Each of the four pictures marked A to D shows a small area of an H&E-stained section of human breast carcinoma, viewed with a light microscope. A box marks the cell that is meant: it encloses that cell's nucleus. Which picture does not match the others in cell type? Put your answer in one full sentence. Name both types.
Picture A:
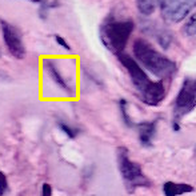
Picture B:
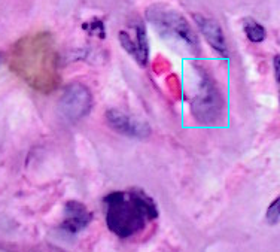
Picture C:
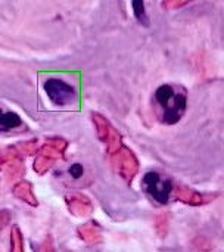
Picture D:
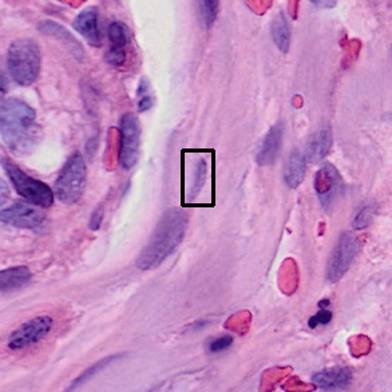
Picture B is the odd one out: it shows an endothelial cell, while the others show fibroblasts.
